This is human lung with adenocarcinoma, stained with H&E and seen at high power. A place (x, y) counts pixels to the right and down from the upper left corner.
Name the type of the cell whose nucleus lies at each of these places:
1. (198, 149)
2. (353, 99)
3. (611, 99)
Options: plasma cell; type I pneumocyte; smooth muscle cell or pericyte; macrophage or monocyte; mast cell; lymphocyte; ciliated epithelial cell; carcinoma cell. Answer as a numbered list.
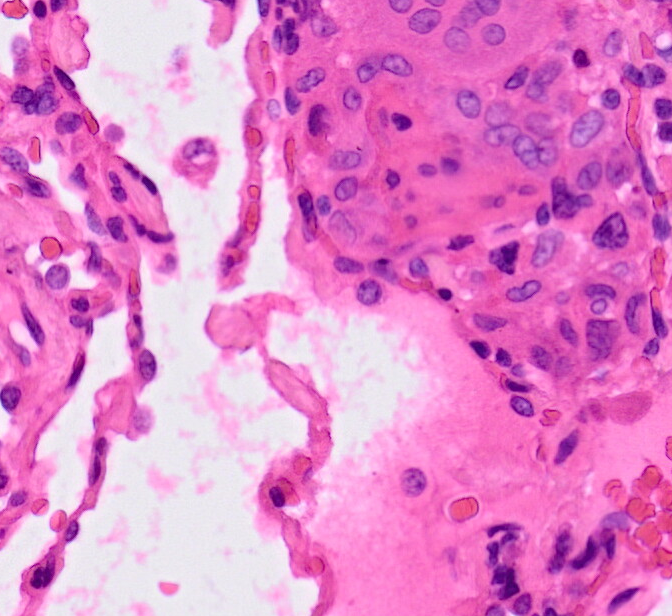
1. macrophage or monocyte
2. macrophage or monocyte
3. lymphocyte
